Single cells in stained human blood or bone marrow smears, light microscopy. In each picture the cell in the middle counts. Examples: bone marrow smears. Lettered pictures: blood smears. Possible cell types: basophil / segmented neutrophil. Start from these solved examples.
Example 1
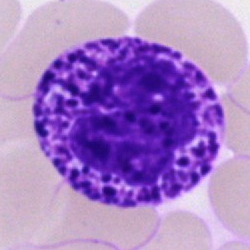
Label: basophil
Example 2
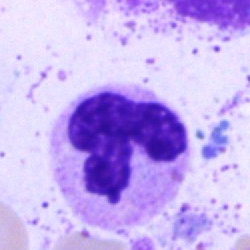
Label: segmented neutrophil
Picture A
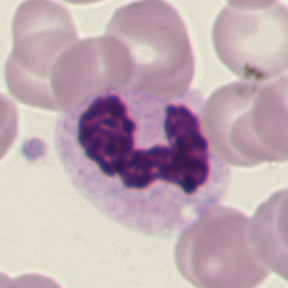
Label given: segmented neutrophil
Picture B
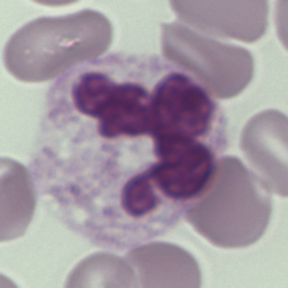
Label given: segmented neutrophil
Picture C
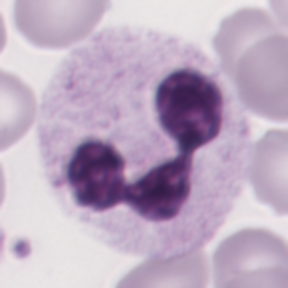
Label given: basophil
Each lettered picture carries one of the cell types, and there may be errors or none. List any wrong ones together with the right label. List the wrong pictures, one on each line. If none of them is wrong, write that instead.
C: change basophil to segmented neutrophil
